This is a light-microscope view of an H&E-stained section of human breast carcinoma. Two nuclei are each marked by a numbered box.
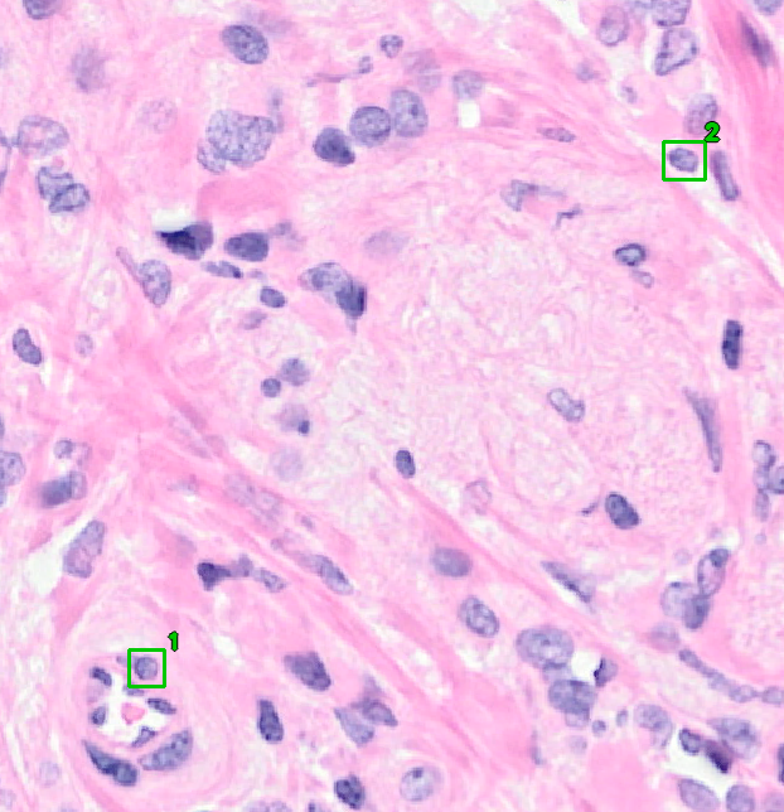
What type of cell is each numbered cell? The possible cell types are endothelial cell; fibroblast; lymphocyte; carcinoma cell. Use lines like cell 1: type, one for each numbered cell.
cell 1: endothelial cell
cell 2: lymphocyte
